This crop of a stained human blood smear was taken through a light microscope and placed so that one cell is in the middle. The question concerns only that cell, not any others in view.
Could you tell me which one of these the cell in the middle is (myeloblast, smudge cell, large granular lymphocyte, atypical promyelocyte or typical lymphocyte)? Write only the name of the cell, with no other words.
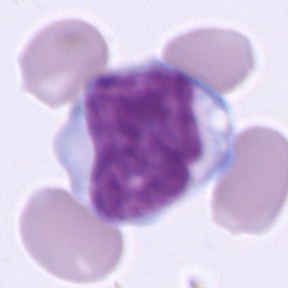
myeloblast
